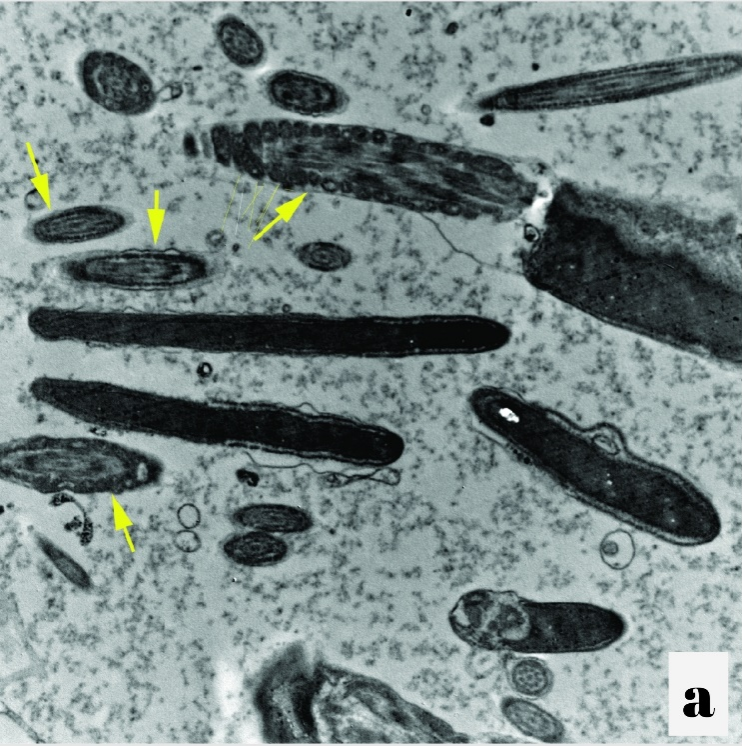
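Sperm cut in various planes lie in a flocculent, granular background. Several elongated, uniformly very dark profiles are sperm heads cut lengthwise, with condensed nuclei. Flagellar profiles appear in longitudinal, oblique and cross section, some with fibrils running along their length.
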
